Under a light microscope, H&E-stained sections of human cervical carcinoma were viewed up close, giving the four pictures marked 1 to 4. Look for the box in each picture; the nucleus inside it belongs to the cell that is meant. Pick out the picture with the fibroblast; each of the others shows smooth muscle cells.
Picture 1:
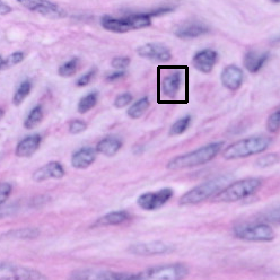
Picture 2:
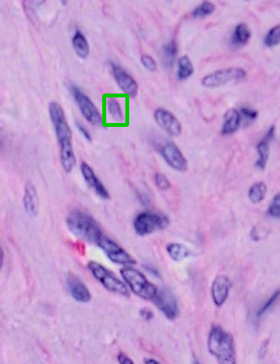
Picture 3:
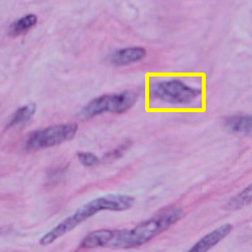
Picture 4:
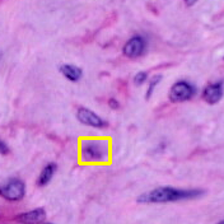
3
